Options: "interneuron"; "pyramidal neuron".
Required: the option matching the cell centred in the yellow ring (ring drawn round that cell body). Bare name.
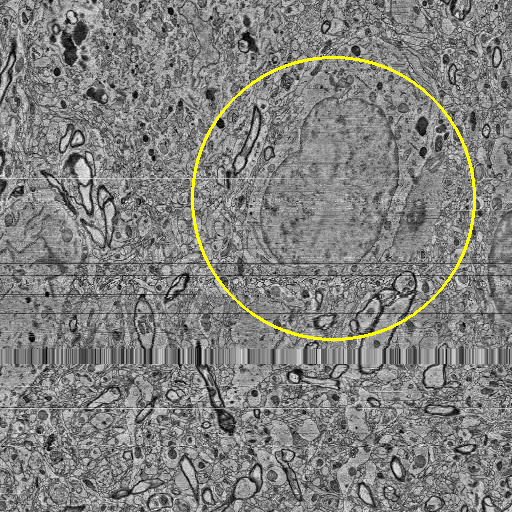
interneuron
